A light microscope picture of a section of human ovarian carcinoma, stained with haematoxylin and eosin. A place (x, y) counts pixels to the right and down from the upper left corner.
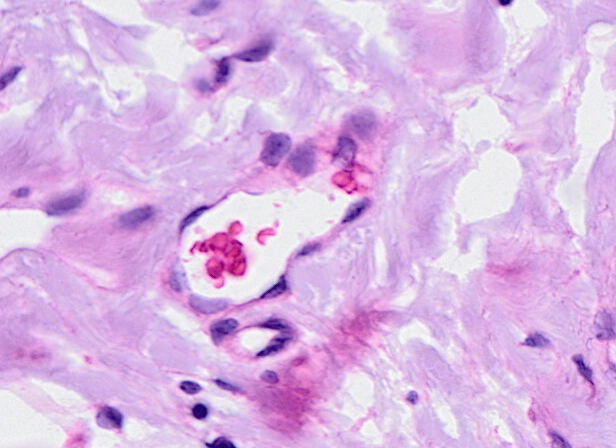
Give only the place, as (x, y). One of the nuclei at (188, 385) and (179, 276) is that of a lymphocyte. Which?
(188, 385)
